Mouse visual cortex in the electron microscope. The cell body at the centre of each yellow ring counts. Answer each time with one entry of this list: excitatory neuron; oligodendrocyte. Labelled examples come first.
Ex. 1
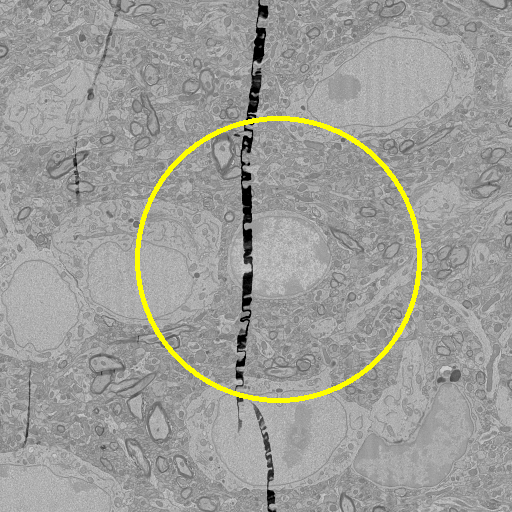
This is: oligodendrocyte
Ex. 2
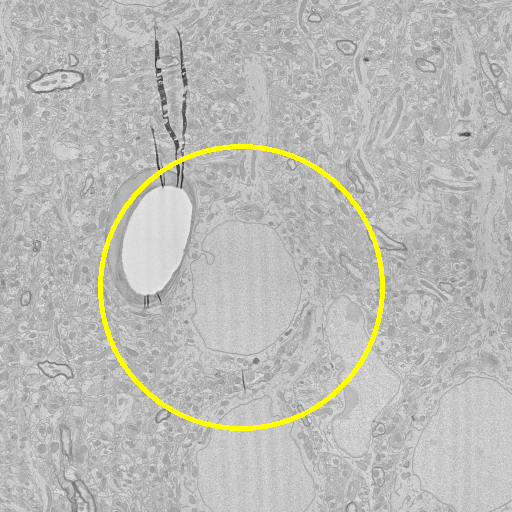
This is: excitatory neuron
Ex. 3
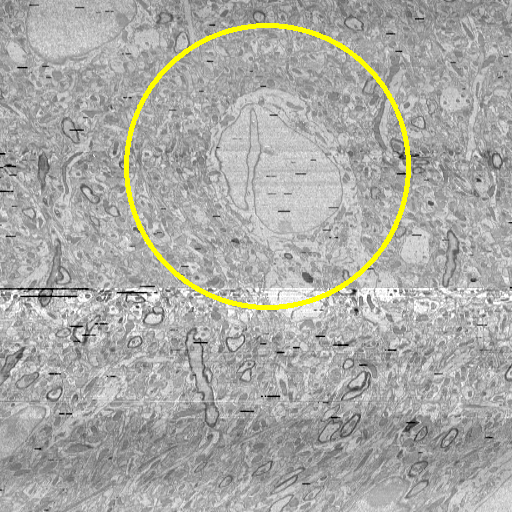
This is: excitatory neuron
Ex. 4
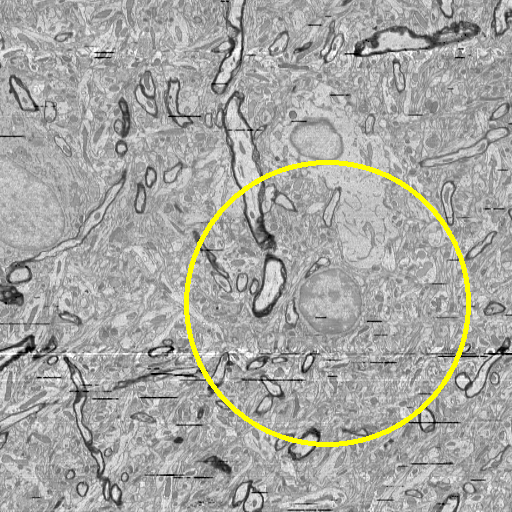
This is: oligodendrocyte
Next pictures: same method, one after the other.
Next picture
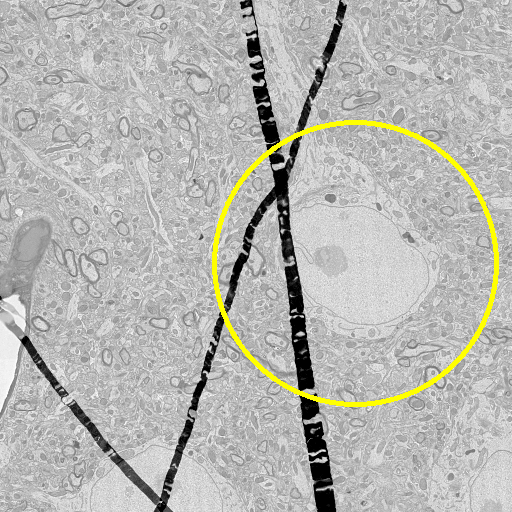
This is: excitatory neuron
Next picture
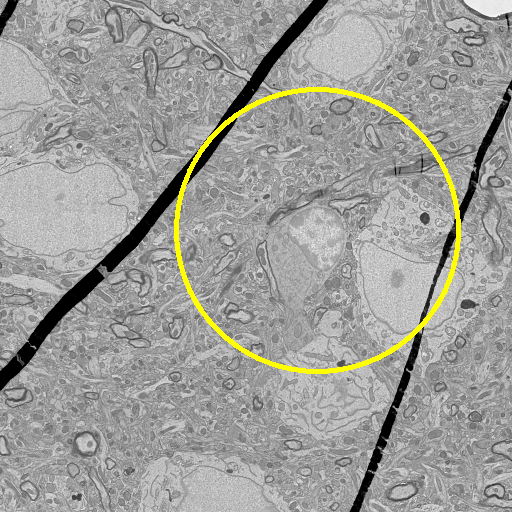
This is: oligodendrocyte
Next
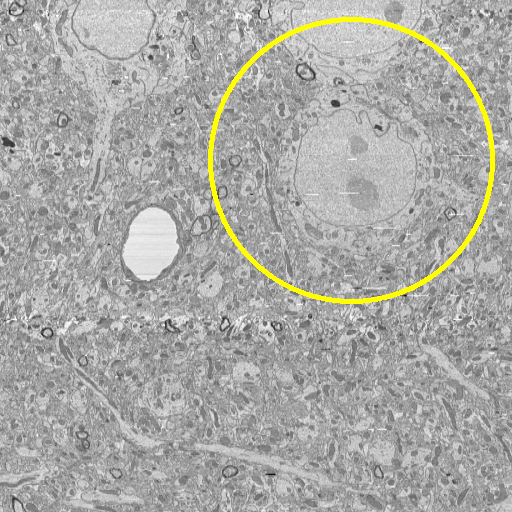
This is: excitatory neuron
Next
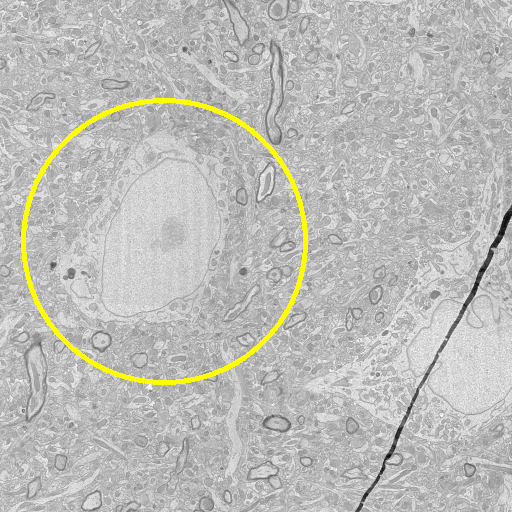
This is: excitatory neuron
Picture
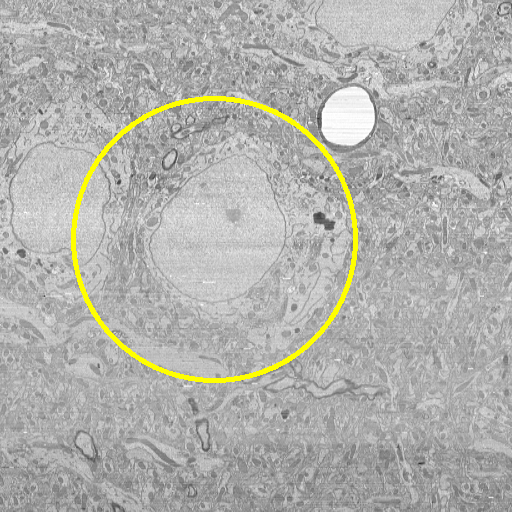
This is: excitatory neuron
